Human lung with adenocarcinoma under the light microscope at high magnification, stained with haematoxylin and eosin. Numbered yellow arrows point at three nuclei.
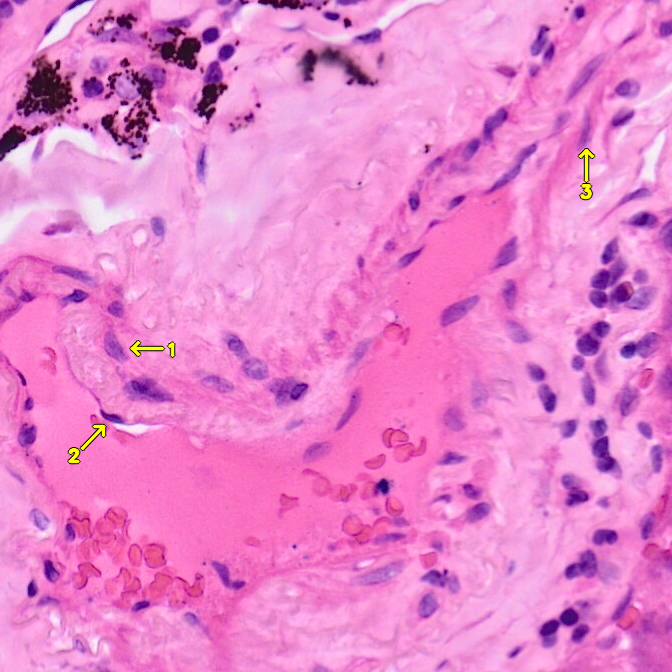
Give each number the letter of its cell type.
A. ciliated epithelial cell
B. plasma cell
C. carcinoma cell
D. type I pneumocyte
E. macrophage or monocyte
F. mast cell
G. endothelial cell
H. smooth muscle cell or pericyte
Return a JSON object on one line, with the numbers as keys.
{"1": "H", "2": "G", "3": "H"}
